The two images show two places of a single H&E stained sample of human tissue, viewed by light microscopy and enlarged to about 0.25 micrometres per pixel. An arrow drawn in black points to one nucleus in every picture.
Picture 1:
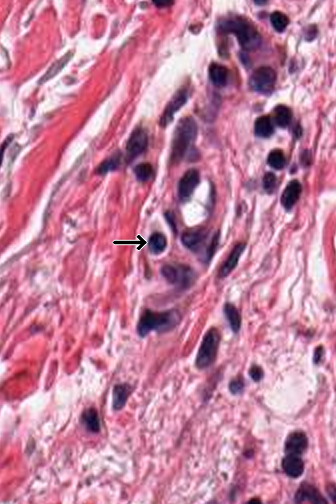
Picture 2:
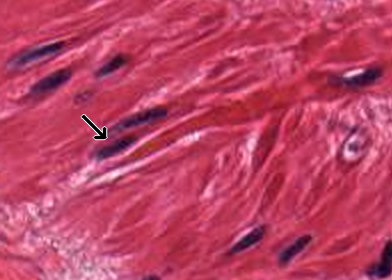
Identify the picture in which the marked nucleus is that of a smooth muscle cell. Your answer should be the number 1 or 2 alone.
2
